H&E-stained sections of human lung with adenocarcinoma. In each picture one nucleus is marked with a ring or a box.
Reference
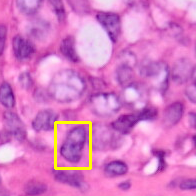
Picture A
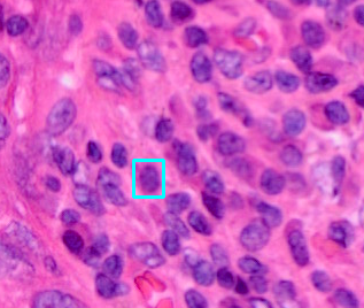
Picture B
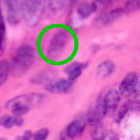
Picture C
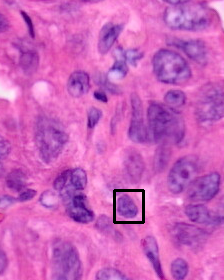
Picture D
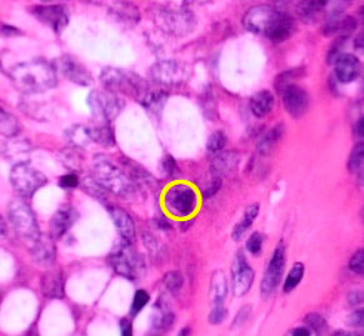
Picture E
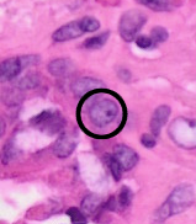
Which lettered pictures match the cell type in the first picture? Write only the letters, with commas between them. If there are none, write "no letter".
B, D, E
